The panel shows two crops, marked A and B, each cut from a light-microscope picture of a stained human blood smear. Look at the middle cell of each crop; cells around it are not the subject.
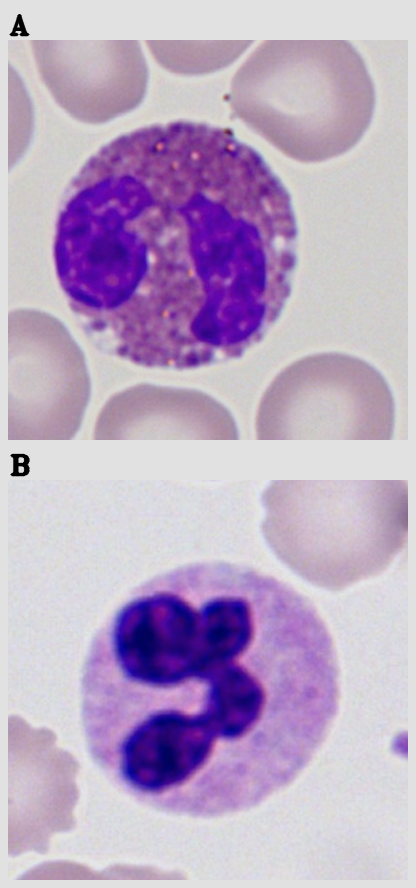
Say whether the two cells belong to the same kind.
no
